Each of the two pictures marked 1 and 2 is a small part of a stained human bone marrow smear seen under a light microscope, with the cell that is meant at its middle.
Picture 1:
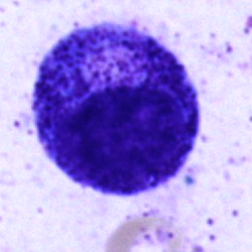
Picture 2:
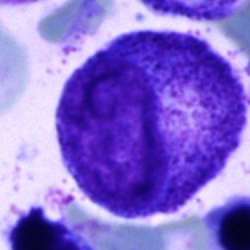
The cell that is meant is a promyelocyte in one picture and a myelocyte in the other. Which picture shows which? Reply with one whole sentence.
Picture 2 shows a myelocyte, while picture 1 shows a promyelocyte.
